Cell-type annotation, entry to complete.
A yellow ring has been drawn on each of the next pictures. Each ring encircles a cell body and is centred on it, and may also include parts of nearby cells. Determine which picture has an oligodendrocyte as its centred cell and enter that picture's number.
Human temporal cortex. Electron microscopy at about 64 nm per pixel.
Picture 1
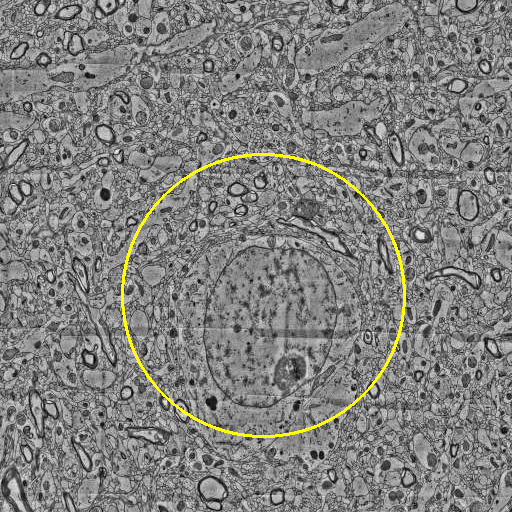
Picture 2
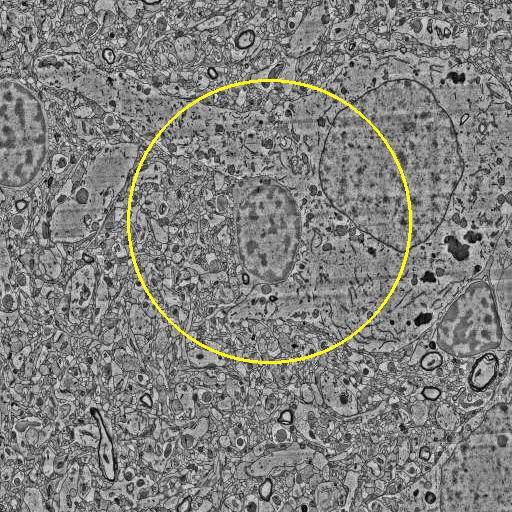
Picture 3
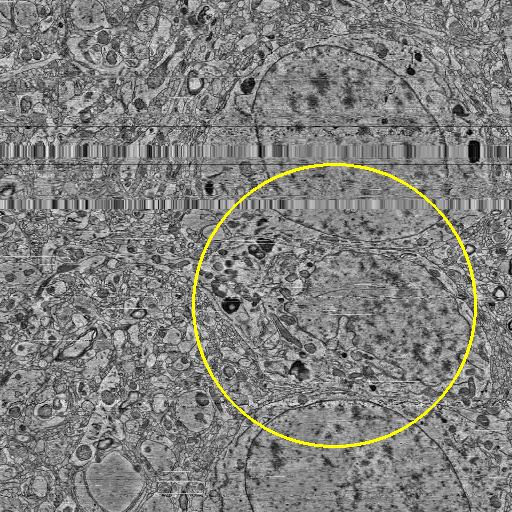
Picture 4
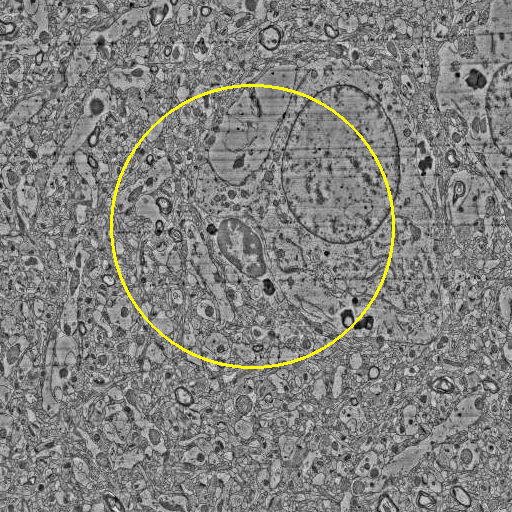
2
